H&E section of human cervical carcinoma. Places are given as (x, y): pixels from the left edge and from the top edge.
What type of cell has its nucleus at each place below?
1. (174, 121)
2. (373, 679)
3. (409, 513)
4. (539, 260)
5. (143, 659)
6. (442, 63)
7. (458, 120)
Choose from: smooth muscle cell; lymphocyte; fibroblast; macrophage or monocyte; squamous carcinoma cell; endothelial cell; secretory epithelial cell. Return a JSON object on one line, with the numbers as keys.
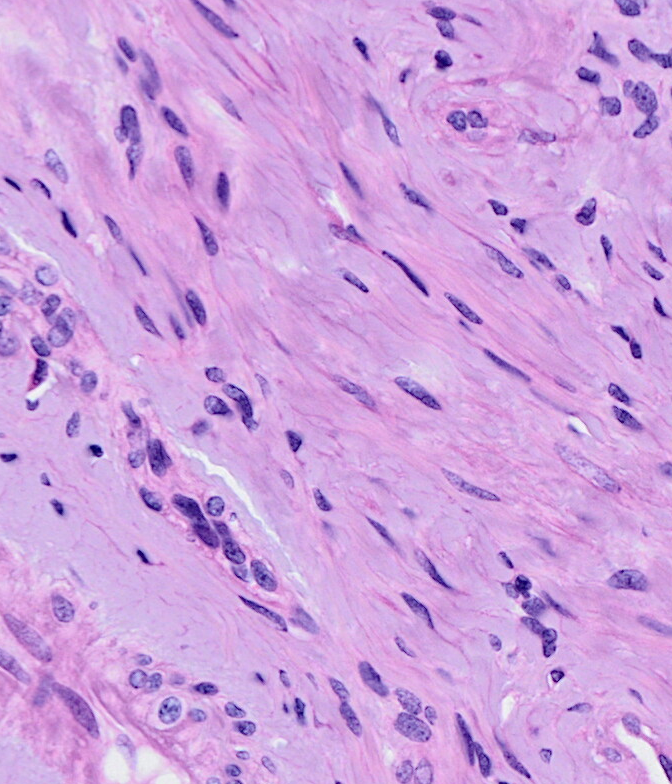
{"1": "fibroblast", "2": "fibroblast", "3": "fibroblast", "4": "fibroblast", "5": "smooth muscle cell", "6": "lymphocyte", "7": "endothelial cell"}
